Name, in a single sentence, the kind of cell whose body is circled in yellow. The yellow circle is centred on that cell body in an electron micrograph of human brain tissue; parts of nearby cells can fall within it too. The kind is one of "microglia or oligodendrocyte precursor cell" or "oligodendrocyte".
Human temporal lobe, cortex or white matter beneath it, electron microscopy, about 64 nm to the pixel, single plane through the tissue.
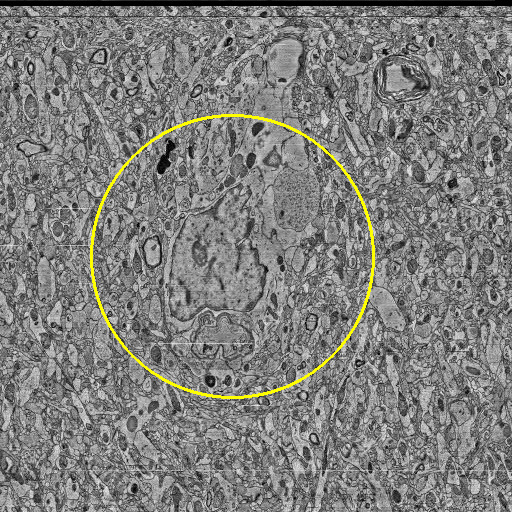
The circled cell body belongs to a microglial cell or oligodendrocyte precursor cell.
